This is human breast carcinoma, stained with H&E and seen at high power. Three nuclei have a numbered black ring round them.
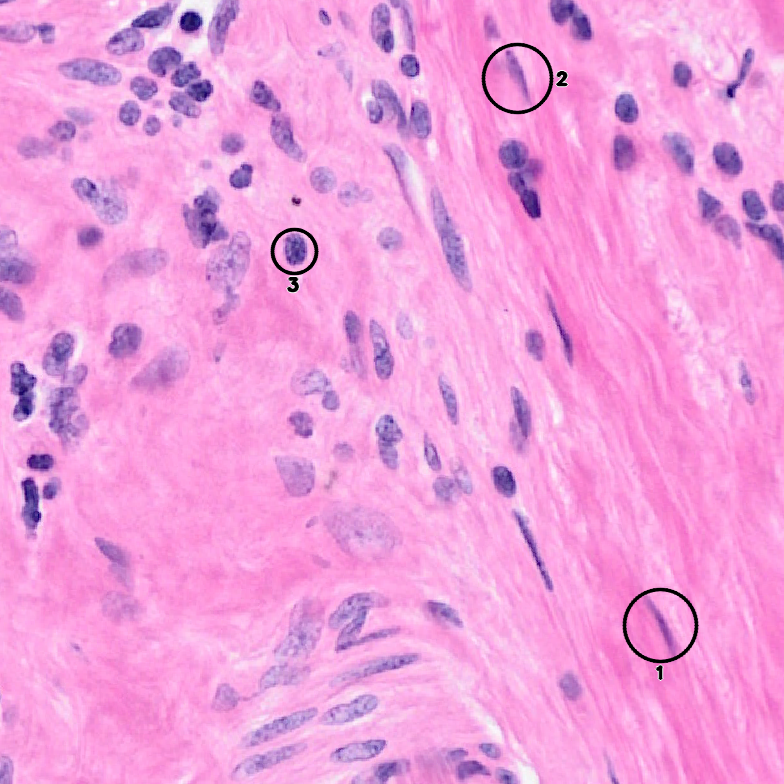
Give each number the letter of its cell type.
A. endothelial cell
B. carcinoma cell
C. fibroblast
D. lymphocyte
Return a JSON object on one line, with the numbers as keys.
{"1": "C", "2": "C", "3": "D"}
